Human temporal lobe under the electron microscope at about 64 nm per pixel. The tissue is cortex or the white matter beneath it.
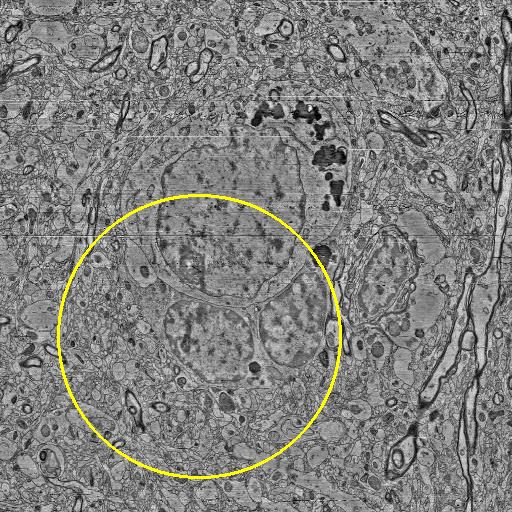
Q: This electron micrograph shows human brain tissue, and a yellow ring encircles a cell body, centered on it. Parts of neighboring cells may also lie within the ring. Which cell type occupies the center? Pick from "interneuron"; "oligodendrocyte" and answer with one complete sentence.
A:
What sits at the ring's center in this micrograph is an oligodendrocyte, among those choices.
